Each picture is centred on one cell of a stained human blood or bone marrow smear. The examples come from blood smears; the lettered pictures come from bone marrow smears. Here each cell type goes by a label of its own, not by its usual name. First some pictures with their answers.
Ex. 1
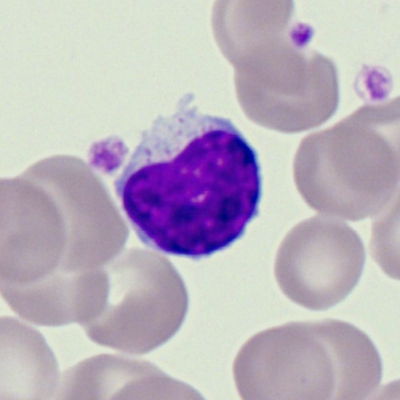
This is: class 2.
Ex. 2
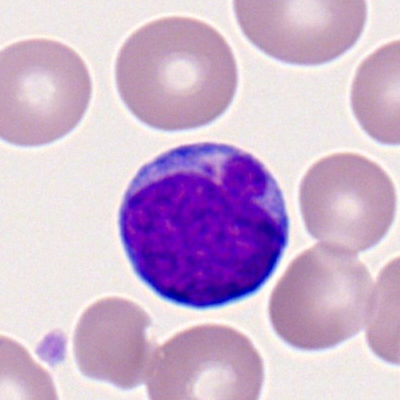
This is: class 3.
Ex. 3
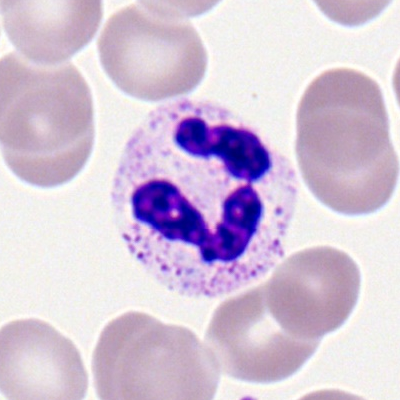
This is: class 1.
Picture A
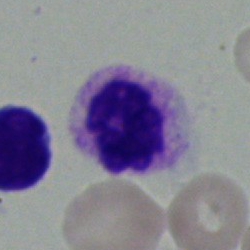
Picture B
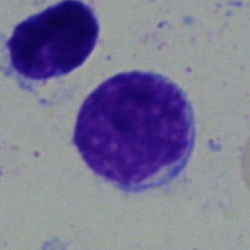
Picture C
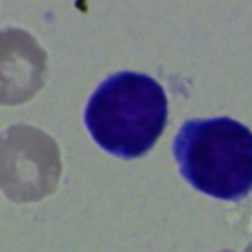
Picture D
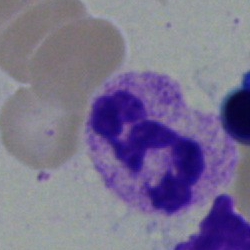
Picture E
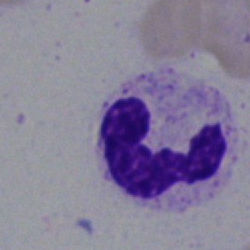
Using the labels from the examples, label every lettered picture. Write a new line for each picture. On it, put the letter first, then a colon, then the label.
A: class 1.
B: class 2.
C: class 2.
D: class 1.
E: class 1.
